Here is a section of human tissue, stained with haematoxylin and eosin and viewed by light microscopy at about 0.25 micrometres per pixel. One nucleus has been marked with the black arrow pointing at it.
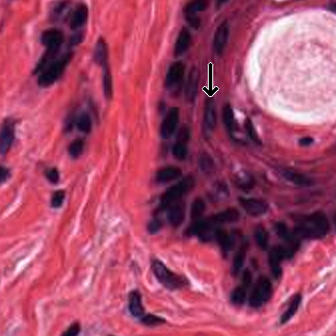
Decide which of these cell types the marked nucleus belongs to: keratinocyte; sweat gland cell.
keratinocyte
